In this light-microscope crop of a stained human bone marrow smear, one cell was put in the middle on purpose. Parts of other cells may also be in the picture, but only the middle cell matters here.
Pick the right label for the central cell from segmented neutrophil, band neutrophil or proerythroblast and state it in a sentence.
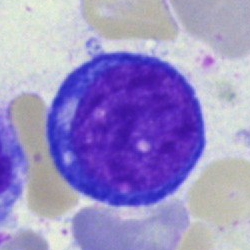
The cell centered in this field of view is a proerythroblast.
